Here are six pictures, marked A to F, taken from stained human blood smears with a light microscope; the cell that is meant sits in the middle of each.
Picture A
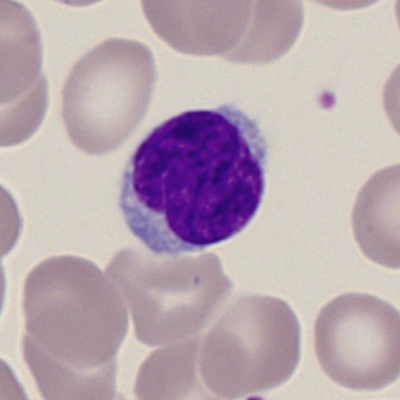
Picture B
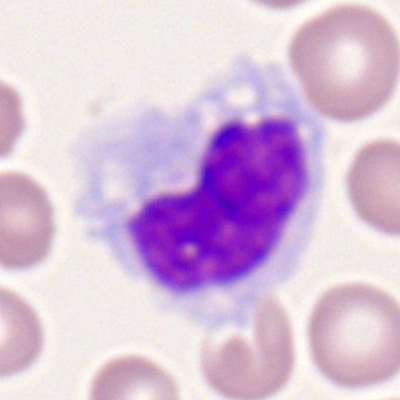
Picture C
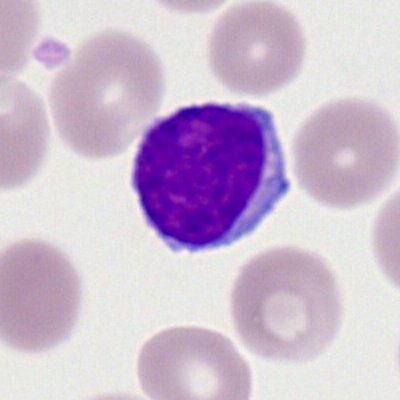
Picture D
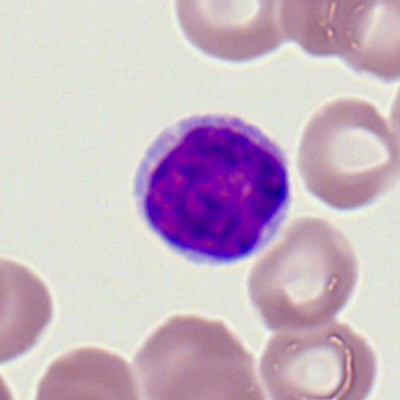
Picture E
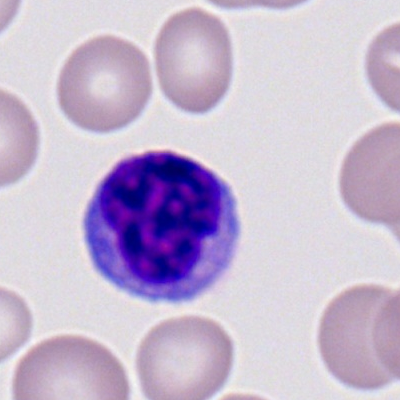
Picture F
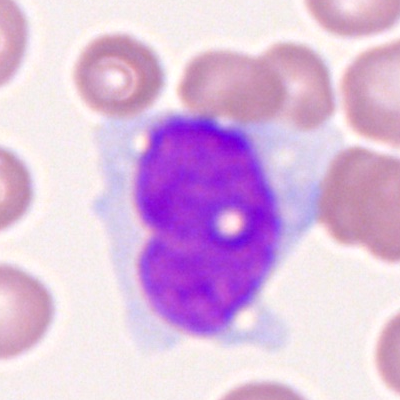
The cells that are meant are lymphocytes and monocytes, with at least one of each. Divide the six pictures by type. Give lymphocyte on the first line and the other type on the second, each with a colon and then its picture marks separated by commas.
lymphocyte: A, C, D, E
monocyte: B, F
